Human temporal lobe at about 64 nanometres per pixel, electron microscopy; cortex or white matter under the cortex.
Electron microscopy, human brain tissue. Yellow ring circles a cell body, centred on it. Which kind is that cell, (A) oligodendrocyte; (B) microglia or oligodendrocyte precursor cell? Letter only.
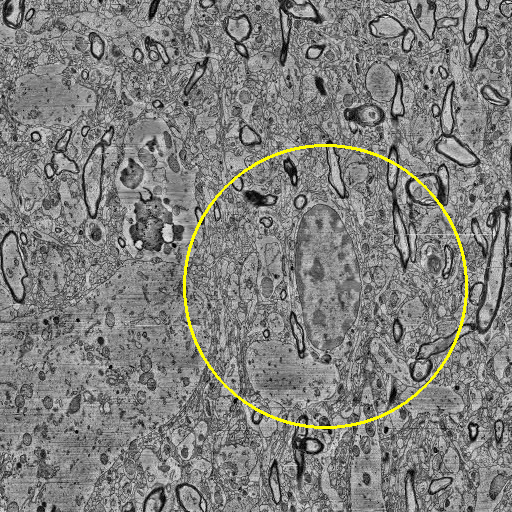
B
